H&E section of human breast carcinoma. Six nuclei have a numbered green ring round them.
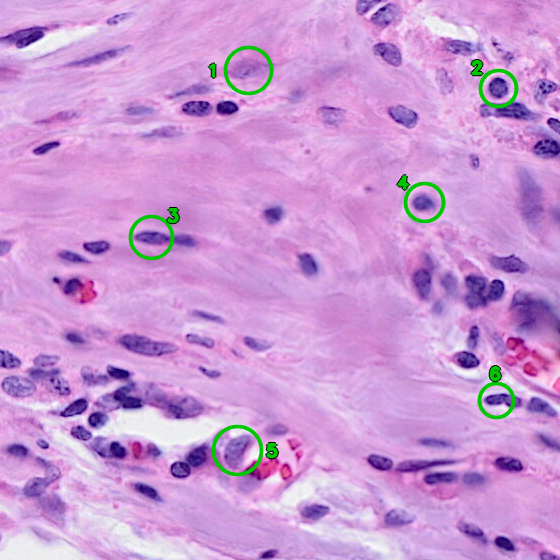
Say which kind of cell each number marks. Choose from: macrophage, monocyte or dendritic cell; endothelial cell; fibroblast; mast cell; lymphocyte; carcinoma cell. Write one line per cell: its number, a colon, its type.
1: fibroblast
2: lymphocyte
3: lymphocyte
4: mast cell
5: endothelial cell
6: lymphocyte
